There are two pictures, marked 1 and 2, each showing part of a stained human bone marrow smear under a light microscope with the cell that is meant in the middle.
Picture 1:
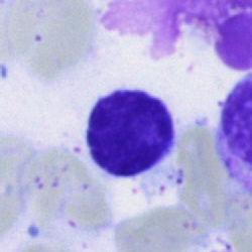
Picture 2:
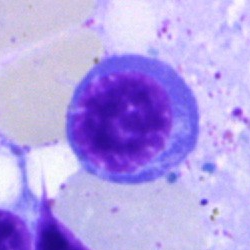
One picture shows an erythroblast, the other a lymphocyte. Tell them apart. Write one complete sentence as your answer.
Picture 1 shows a lymphocyte and picture 2 shows an erythroblast.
